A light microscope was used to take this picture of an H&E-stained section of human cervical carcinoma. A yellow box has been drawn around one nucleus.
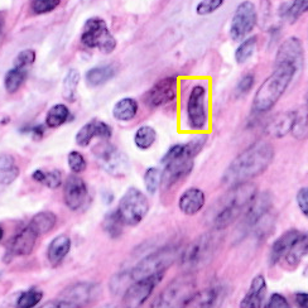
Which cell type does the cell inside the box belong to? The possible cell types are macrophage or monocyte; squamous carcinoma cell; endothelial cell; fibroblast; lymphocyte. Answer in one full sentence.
In the stained section, the cell inside the box is a lymphocyte.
